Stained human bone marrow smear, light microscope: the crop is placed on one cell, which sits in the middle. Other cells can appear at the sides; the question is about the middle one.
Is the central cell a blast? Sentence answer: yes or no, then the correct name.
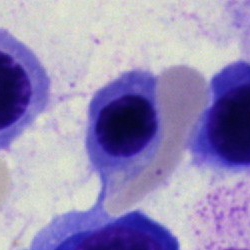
No, it is a normoblast and not a blast that occupies the middle of the crop.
